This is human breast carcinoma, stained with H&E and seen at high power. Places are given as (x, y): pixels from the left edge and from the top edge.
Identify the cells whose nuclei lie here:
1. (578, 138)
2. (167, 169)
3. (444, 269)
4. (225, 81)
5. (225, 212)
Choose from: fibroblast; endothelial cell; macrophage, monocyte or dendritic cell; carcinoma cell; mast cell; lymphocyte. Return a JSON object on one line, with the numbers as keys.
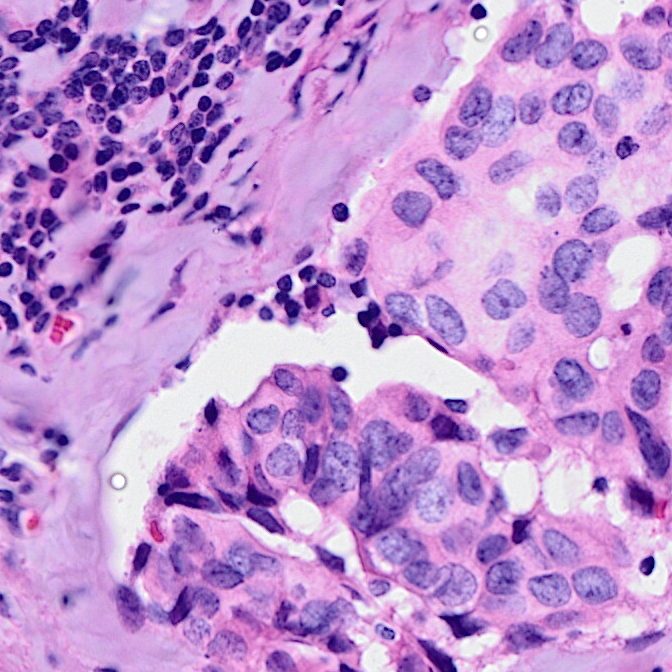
{"1": "carcinoma cell", "2": "lymphocyte", "3": "carcinoma cell", "4": "lymphocyte", "5": "lymphocyte"}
